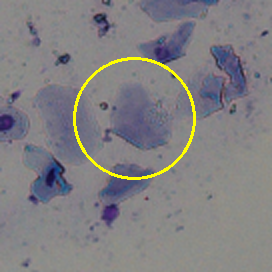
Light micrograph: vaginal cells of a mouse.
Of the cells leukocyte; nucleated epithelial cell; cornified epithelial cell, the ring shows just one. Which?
The ring shows a cornified epithelial cell.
